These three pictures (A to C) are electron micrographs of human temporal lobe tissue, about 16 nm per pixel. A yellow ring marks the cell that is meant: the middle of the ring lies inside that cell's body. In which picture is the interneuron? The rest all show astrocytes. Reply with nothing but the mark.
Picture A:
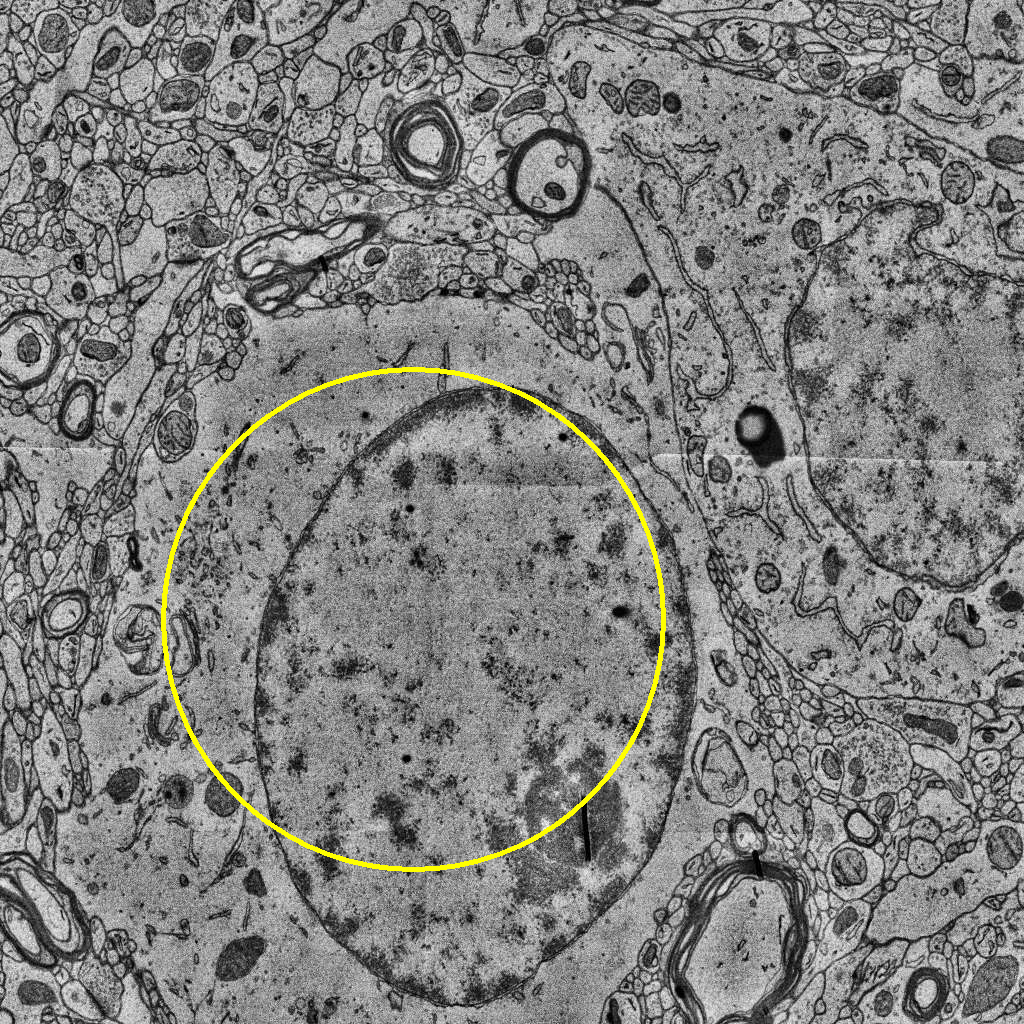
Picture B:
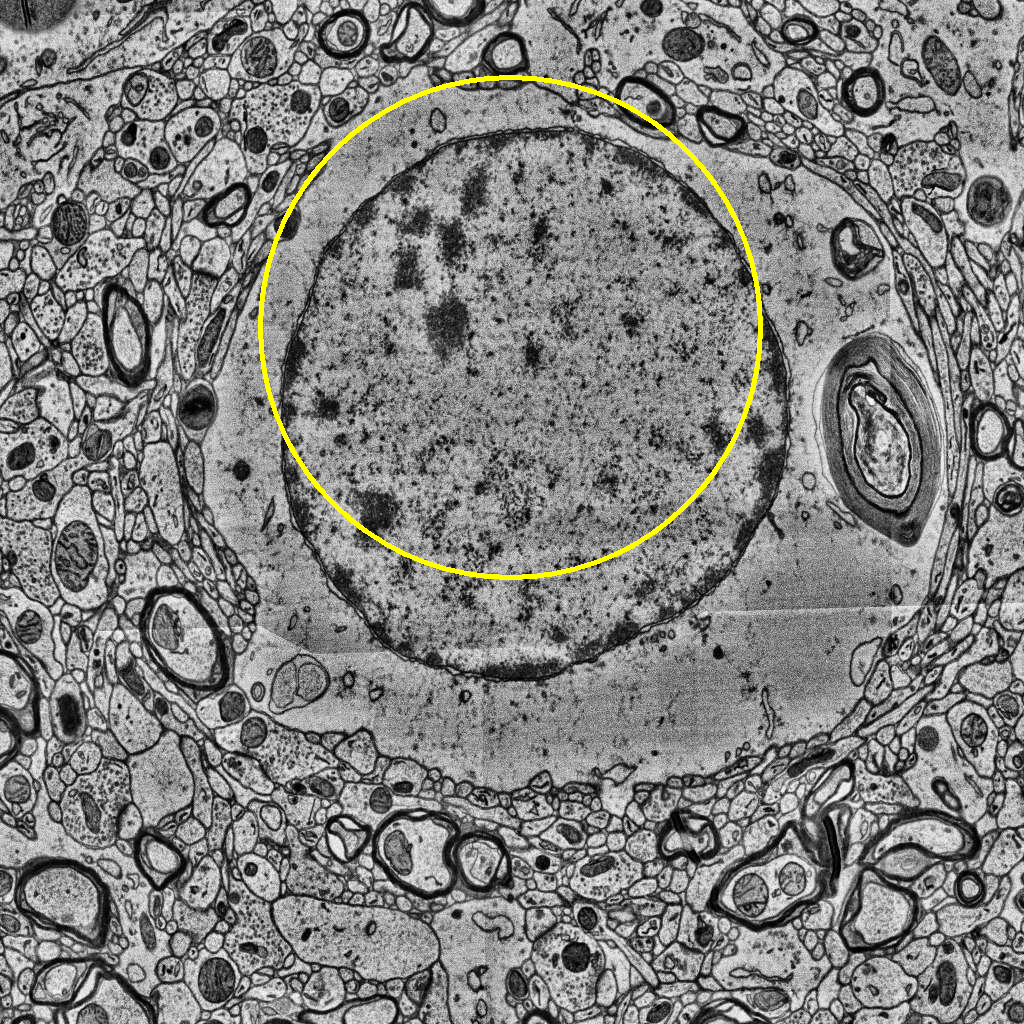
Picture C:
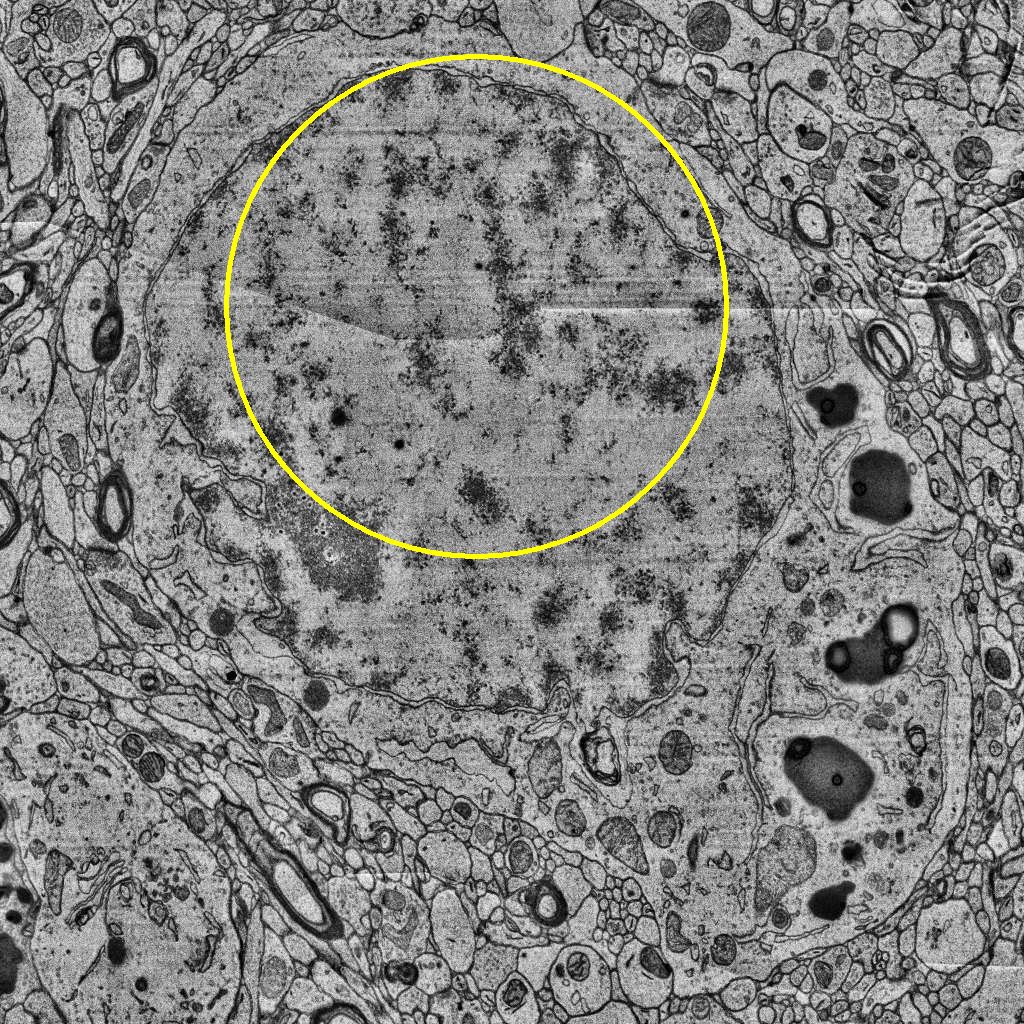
C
